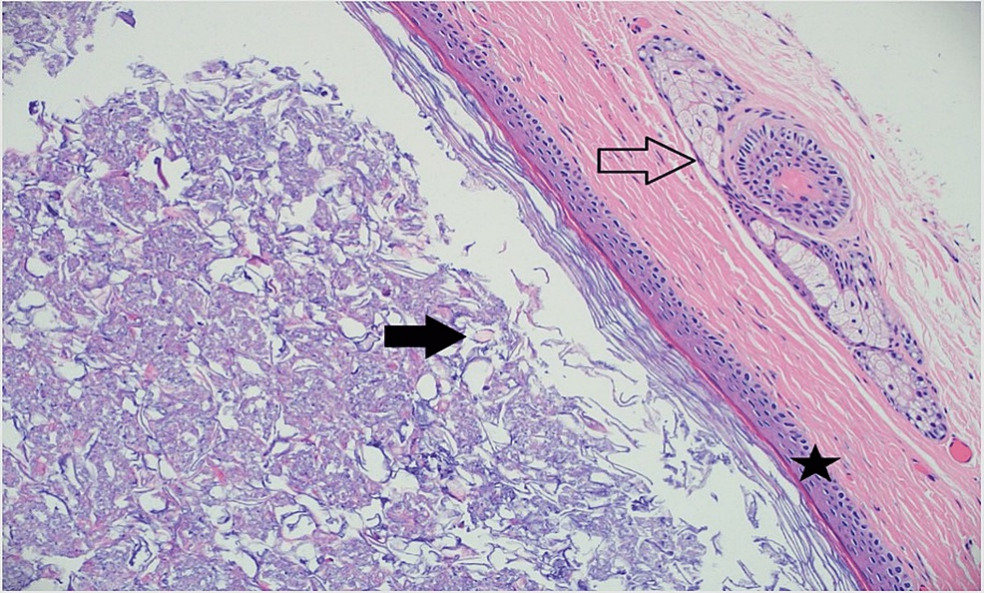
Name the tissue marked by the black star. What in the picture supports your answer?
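A band of epithelium several cell layers thick lines the cavity. Cells become flattened toward the luminal surface. Thin laminated layers peel off the surface into the cavity. So: stratified squamous epithelium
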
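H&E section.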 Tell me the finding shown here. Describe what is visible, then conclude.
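Dermoid cyst. A cavity is lined by multilayered squamous epithelium. The cavity is filled with flaky laminated debris. The pink fibrous wall holds sebaceous lobules beside a follicle-like structure.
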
